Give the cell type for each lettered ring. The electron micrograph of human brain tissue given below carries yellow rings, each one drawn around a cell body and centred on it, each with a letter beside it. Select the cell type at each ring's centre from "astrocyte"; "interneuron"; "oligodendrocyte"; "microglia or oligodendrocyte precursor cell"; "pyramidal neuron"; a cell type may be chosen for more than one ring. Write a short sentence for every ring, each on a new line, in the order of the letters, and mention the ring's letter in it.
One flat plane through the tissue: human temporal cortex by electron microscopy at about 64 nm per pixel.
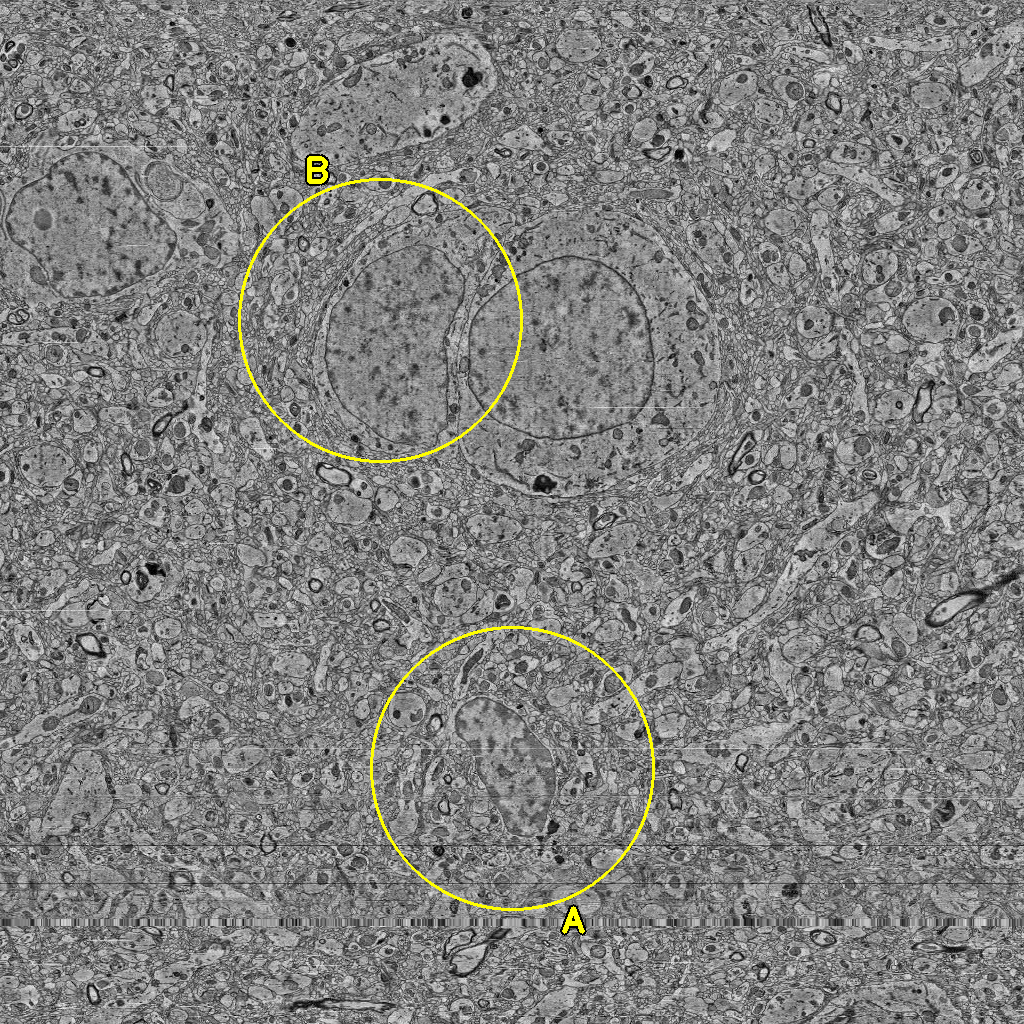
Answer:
The cell type for ring A is a microglial cell or oligodendrocyte precursor cell.
The cell type for ring B is a pyramidal neuron.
